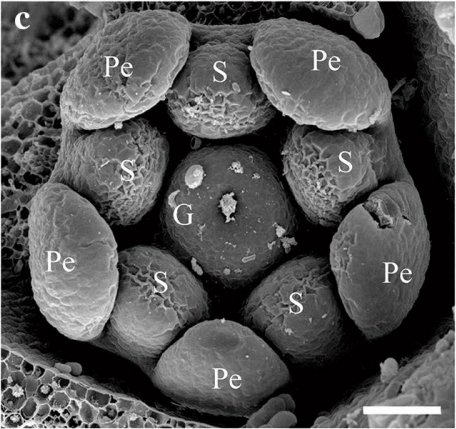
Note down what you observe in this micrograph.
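A developing flower bud seen from above shows an outer ring of five rounded petal primordia alternating with an inner ring of five stamen primordia, all surrounding a central dome-shaped gynoecium primordium. The petal primordia have a smoother surface, while the stamen primordia have a rougher, more textured cell surface.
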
